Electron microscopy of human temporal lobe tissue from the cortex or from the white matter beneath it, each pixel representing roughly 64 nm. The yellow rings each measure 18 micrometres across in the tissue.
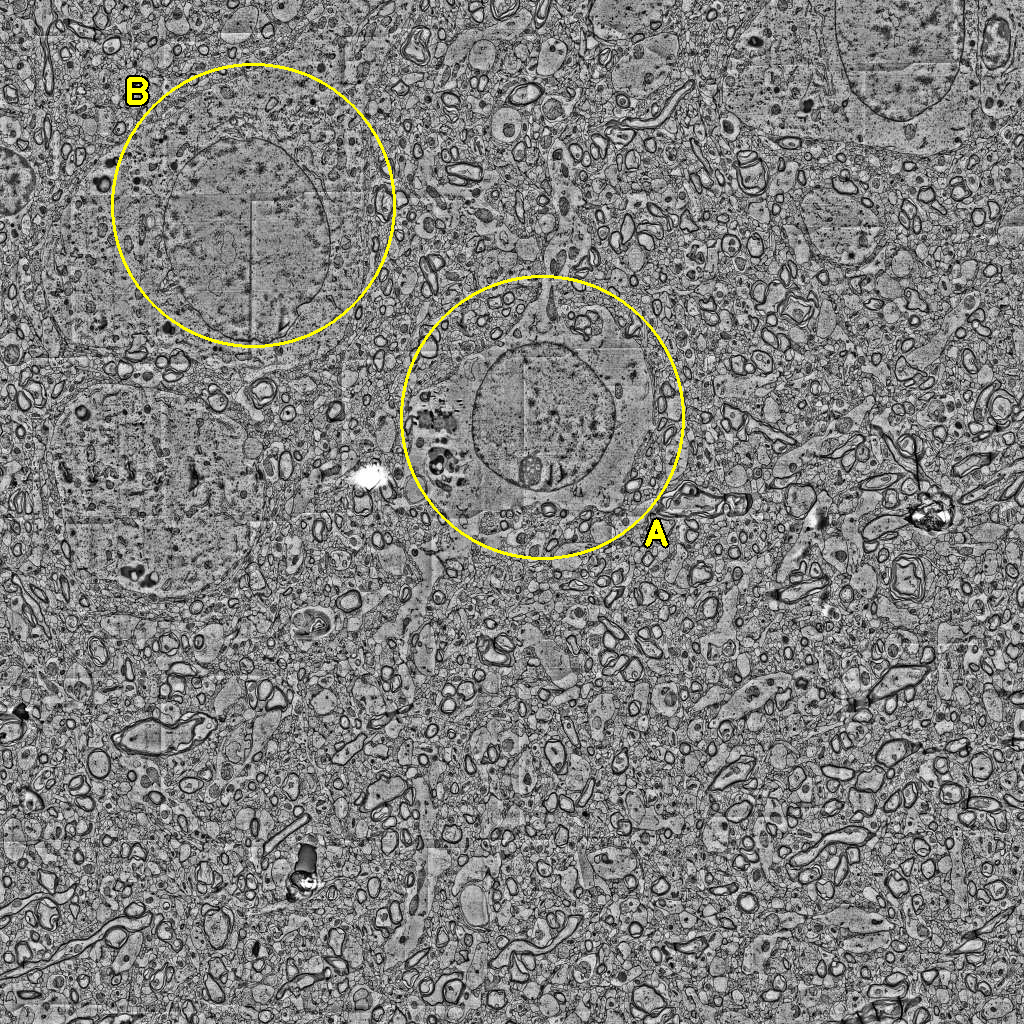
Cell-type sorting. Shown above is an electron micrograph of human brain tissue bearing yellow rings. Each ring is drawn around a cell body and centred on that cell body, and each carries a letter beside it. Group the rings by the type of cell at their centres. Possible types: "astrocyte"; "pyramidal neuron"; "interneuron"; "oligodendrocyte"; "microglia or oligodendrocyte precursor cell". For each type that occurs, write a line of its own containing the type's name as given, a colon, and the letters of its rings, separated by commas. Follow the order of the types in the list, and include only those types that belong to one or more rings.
astrocyte: A
pyramidal neuron: B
